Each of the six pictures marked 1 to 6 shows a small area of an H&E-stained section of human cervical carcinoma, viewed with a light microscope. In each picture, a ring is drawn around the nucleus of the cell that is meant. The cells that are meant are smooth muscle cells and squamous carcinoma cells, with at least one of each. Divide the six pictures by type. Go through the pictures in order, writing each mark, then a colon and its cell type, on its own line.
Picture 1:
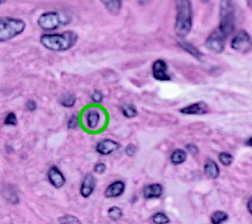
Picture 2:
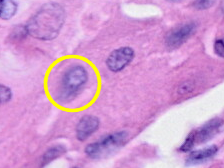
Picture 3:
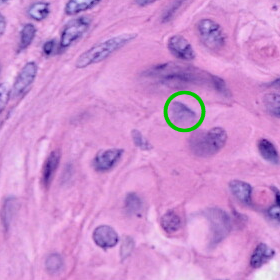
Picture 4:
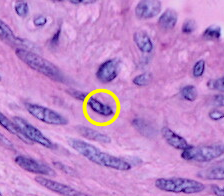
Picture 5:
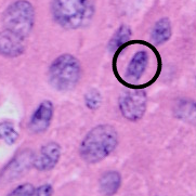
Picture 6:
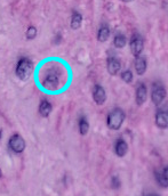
1: smooth muscle cell
2: squamous carcinoma cell
3: squamous carcinoma cell
4: smooth muscle cell
5: squamous carcinoma cell
6: smooth muscle cell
